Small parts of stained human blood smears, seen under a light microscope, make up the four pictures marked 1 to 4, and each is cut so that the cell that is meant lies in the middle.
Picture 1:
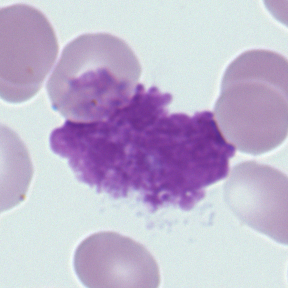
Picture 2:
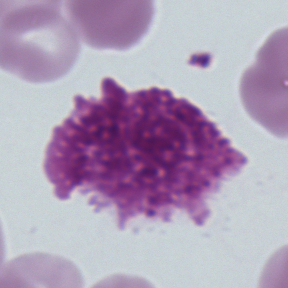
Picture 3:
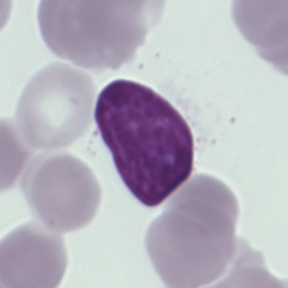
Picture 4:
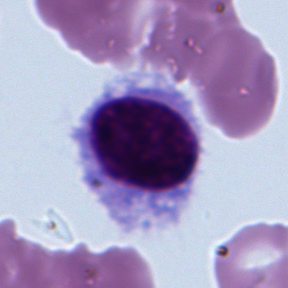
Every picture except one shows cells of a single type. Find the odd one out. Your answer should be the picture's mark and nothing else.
4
